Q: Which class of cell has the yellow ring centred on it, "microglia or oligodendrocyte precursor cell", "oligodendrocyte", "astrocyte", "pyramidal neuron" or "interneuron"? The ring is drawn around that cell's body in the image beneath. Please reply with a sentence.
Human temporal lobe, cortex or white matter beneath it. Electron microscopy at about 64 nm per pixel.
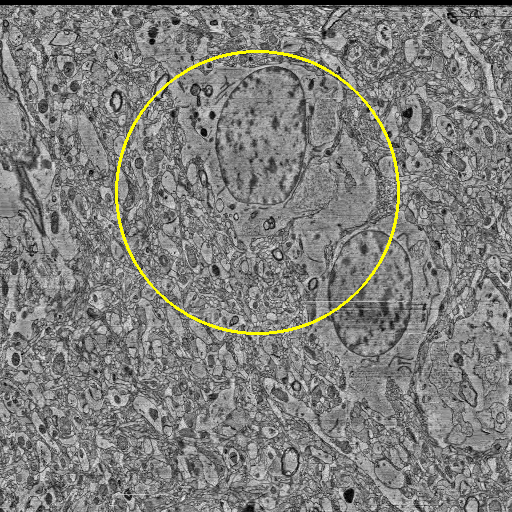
It is centred on an astrocyte.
